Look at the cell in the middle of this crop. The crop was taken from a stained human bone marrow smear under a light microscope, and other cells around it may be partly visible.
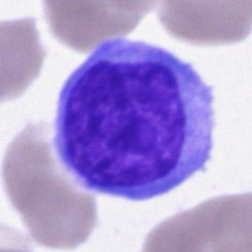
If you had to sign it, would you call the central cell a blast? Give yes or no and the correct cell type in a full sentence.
Yes, the cell here in the middle is a blast.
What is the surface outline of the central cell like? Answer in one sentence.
A smooth outline is absent here, replaced by ragged stretches or projections.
